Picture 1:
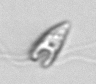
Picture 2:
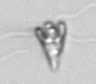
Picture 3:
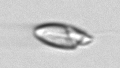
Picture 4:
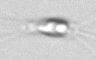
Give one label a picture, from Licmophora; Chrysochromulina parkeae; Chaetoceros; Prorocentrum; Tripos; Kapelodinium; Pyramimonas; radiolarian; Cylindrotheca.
Picture 1: Pyramimonas
Picture 2: Pyramimonas
Picture 3: Kapelodinium
Picture 4: Chrysochromulina parkeae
